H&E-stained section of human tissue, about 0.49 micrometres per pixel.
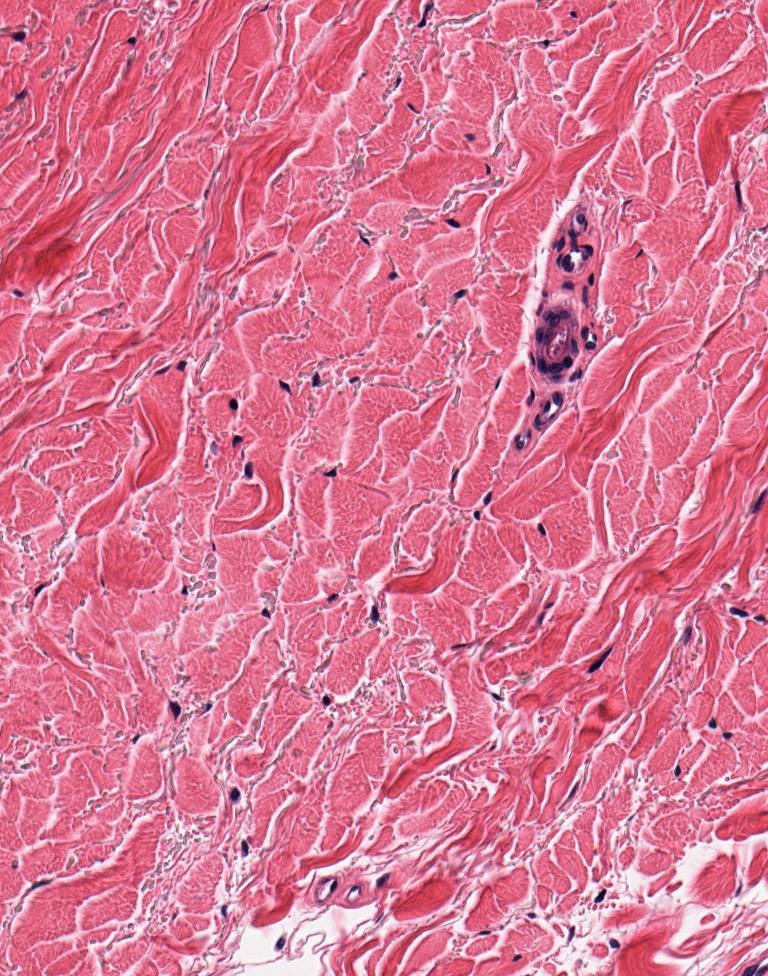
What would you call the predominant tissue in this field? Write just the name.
dermis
